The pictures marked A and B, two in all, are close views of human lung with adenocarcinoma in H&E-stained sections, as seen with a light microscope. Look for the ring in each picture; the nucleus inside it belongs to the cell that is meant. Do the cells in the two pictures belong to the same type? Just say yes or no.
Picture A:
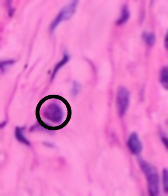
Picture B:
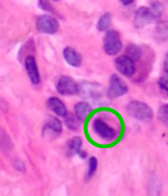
yes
